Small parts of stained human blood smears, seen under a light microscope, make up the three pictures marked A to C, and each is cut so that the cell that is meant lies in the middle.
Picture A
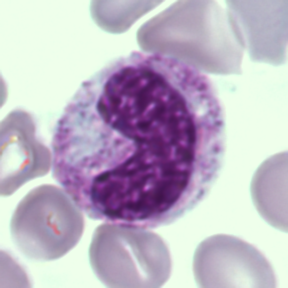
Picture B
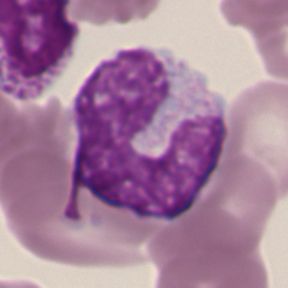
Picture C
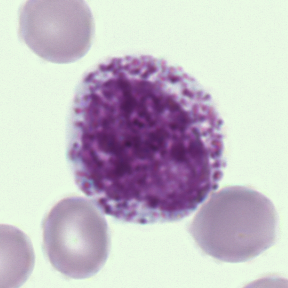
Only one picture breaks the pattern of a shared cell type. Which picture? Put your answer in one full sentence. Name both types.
All pictures except C show band neutrophils; picture C shows a metamyelocyte.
